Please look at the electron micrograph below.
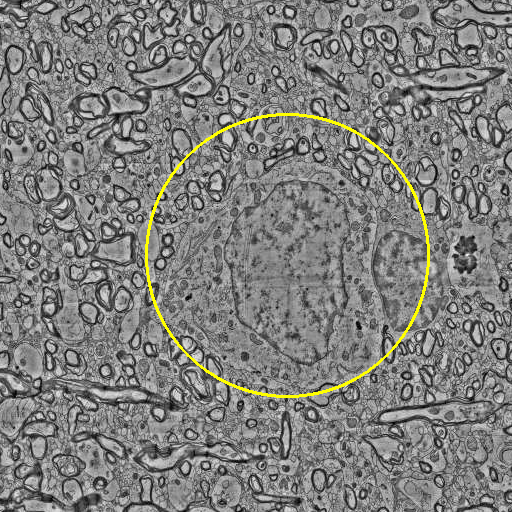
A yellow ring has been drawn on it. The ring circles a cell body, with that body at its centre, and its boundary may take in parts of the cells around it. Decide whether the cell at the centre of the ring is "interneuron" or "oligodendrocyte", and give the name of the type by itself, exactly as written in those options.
interneuron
